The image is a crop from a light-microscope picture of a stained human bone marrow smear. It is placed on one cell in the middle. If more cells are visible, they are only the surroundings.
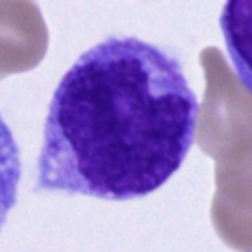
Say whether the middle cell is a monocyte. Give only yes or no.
yes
